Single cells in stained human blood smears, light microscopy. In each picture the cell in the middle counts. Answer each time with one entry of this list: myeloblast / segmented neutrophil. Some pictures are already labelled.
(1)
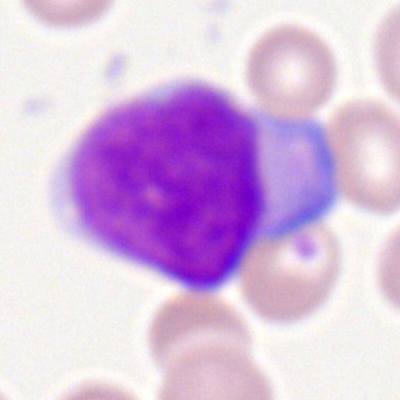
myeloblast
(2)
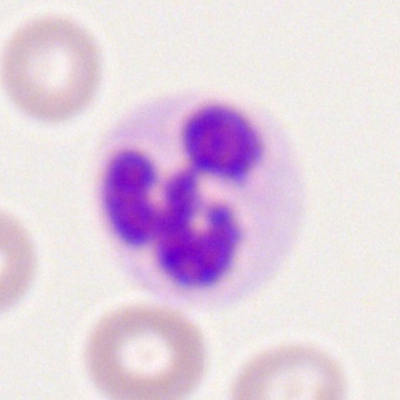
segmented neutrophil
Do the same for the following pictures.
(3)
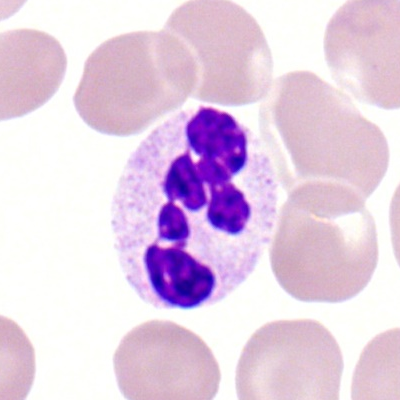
segmented neutrophil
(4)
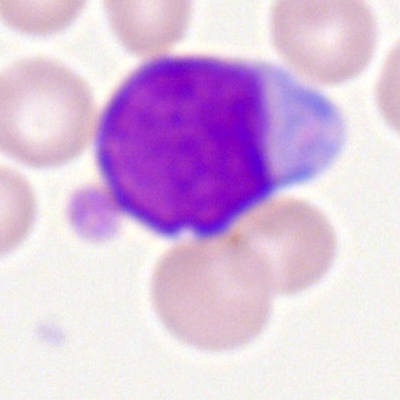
myeloblast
